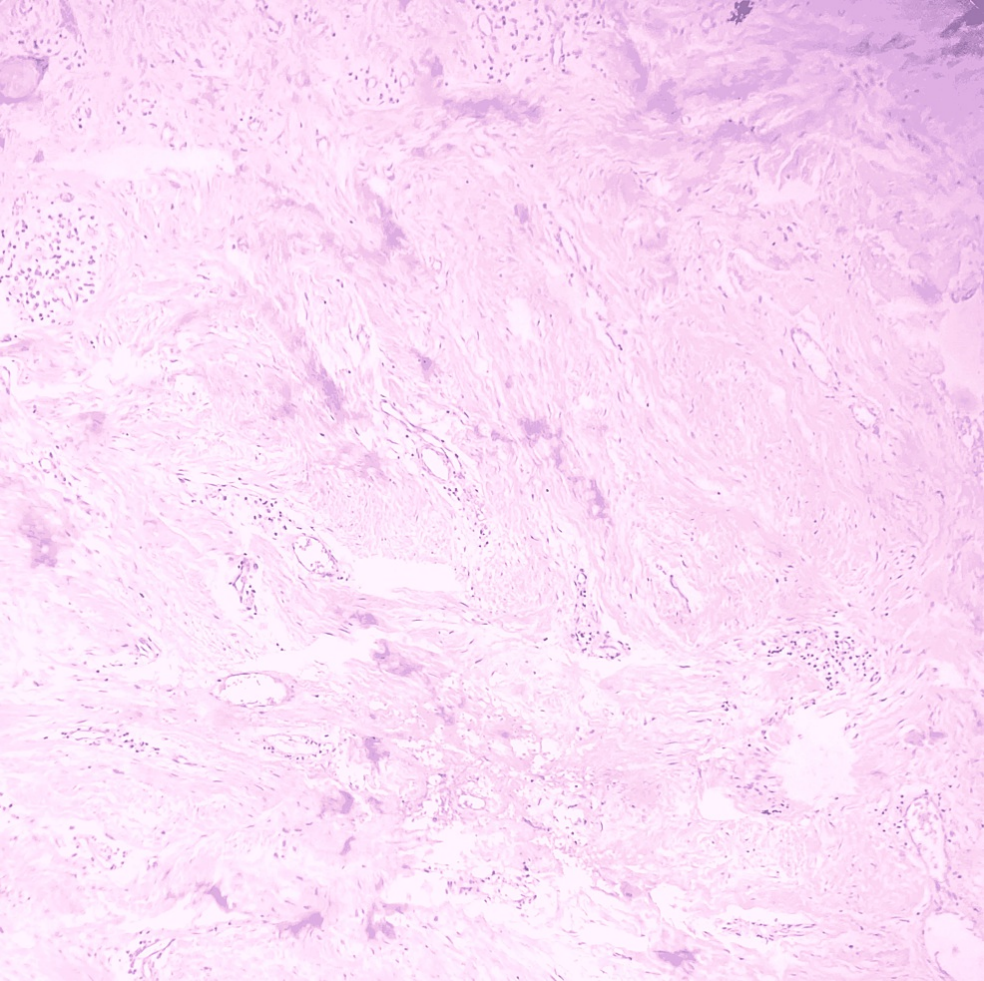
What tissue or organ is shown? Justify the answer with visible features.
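Most of the field is filled with pale pink fibrous material. The fibres run in wavy bands, largely diagonally across the field. Nuclei are sparse among the fibres. The answer: dense bundles of collagen fibers.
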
